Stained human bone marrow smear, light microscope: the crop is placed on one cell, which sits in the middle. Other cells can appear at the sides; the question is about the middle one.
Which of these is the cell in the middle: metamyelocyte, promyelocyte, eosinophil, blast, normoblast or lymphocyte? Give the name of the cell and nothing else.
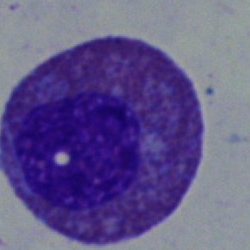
eosinophil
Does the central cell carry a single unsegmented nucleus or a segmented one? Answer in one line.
Just one compact nuclear mass here, round, oval or kidney-shaped.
